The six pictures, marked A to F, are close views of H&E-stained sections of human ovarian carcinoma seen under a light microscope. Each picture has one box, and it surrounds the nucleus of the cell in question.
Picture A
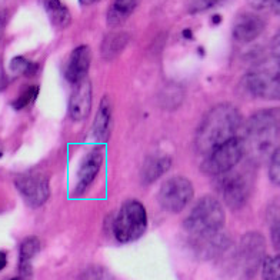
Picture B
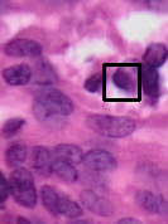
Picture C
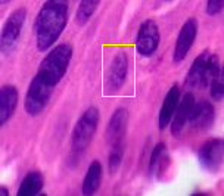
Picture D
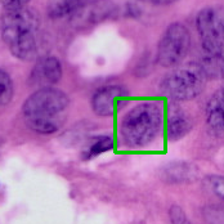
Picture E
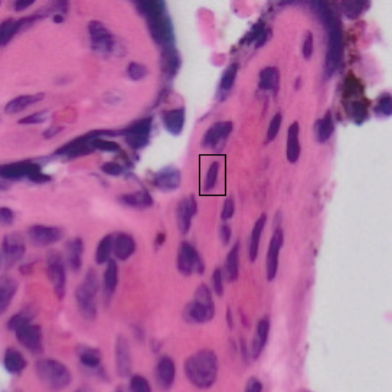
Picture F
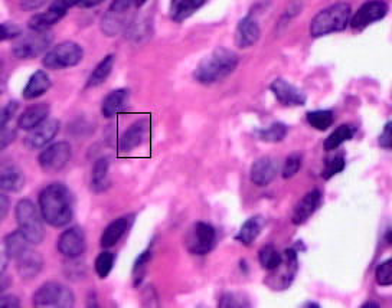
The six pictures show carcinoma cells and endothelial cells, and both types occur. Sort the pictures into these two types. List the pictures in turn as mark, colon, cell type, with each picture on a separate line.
A: endothelial cell
B: carcinoma cell
C: carcinoma cell
D: carcinoma cell
E: endothelial cell
F: endothelial cell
